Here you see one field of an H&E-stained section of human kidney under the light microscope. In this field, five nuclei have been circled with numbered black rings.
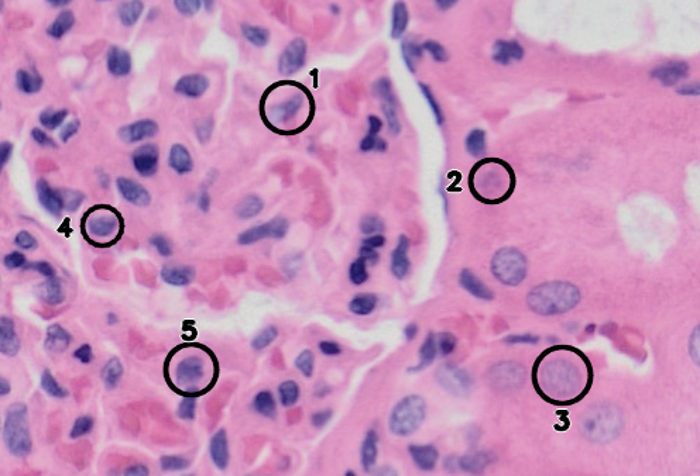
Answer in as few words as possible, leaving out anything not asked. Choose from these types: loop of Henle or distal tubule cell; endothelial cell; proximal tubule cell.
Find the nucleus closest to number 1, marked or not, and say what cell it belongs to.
endothelial cell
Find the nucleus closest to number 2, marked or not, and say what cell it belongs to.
endothelial cell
